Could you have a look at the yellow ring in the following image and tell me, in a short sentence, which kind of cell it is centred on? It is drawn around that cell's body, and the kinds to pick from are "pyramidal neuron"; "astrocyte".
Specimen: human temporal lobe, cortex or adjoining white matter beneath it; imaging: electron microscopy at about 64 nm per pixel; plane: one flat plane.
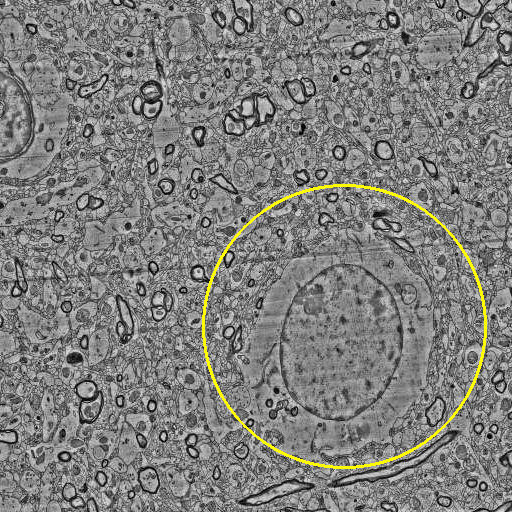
The ring is centred on the body of an astrocyte.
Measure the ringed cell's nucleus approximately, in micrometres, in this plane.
The nucleus works out at approximately 10 by 8 micrometres in this plane.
